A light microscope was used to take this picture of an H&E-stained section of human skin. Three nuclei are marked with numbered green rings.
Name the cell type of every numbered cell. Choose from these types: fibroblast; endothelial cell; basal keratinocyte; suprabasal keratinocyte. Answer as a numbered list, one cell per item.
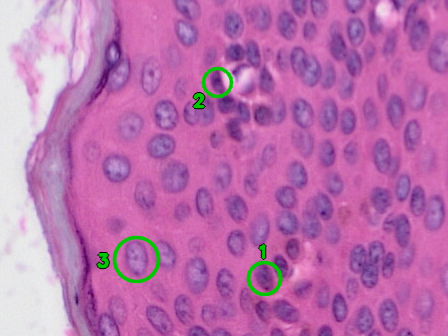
1. basal keratinocyte
2. basal keratinocyte
3. suprabasal keratinocyte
